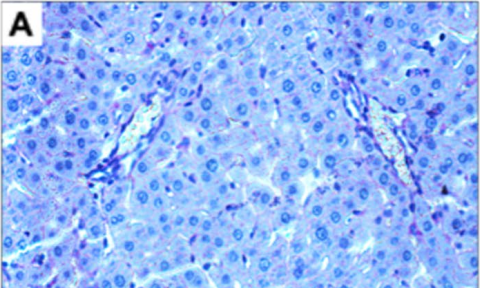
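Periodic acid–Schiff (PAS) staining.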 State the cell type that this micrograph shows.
hepatocytes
